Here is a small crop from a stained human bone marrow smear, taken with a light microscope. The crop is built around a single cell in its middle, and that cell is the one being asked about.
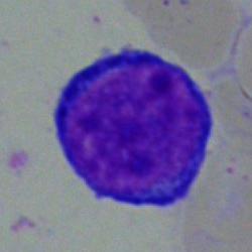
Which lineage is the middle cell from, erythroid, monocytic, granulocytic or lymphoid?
erythroid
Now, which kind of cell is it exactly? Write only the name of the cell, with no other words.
proerythroblast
